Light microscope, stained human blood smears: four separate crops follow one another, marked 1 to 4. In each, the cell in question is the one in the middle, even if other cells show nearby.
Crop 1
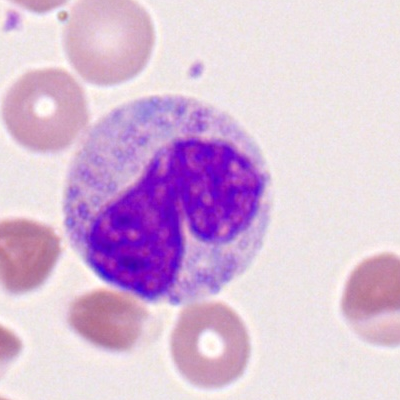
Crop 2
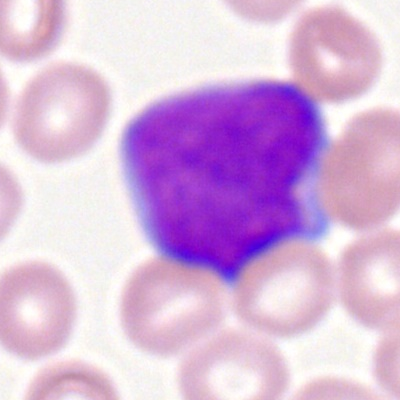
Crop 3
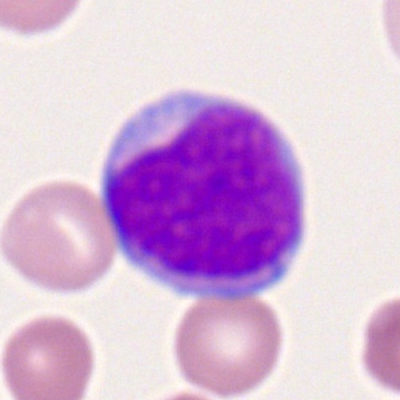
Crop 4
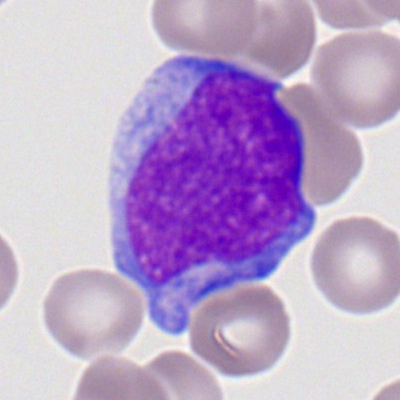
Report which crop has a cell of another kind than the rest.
1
